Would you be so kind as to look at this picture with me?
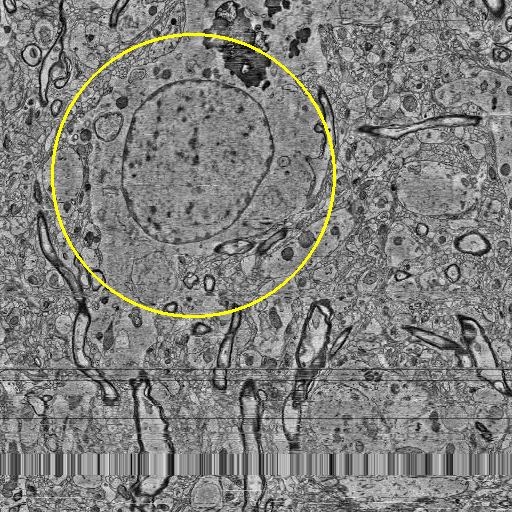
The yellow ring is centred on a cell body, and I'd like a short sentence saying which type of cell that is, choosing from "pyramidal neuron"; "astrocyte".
The cell body in the ring belongs to an astrocyte.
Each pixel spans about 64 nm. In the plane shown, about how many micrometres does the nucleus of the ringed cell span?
Approximately 11 by 9 micrometers in this plane.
